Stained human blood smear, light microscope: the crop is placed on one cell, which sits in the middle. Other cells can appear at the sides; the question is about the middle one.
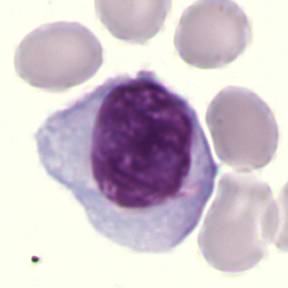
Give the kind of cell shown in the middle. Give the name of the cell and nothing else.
plasma cell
